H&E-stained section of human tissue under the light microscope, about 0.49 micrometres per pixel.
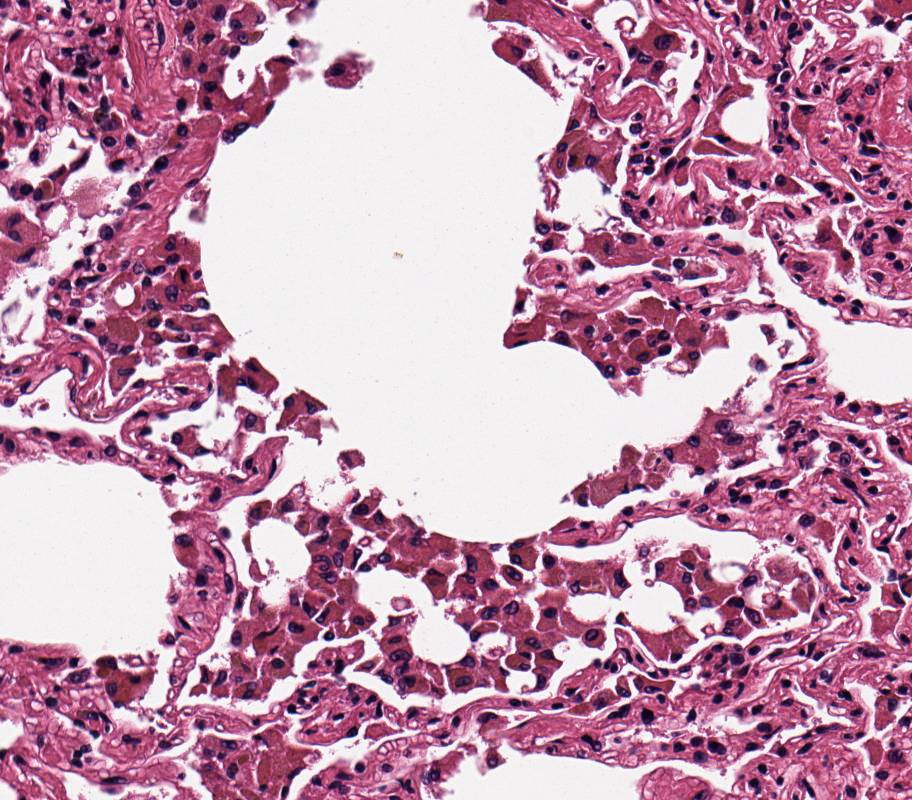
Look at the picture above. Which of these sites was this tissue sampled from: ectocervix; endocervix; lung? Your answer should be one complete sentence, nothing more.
From the lung was taken the tissue in this section.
